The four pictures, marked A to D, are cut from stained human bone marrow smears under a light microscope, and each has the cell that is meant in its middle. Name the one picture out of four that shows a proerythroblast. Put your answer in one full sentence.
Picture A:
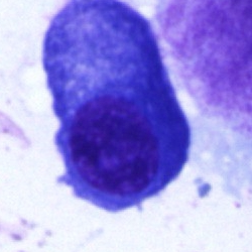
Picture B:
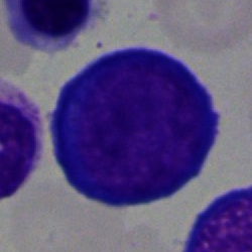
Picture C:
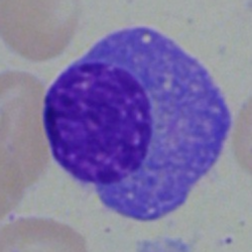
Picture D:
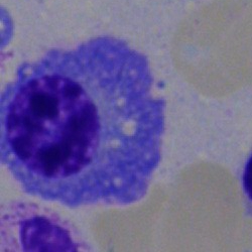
The proerythroblast is the one in picture B.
